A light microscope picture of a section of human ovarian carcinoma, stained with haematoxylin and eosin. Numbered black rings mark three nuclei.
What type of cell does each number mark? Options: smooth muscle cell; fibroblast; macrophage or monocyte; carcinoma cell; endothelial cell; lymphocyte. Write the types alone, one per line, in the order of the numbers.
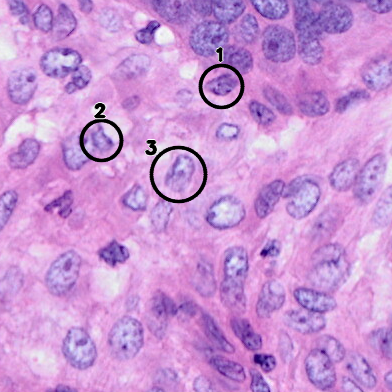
macrophage or monocyte
fibroblast
fibroblast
